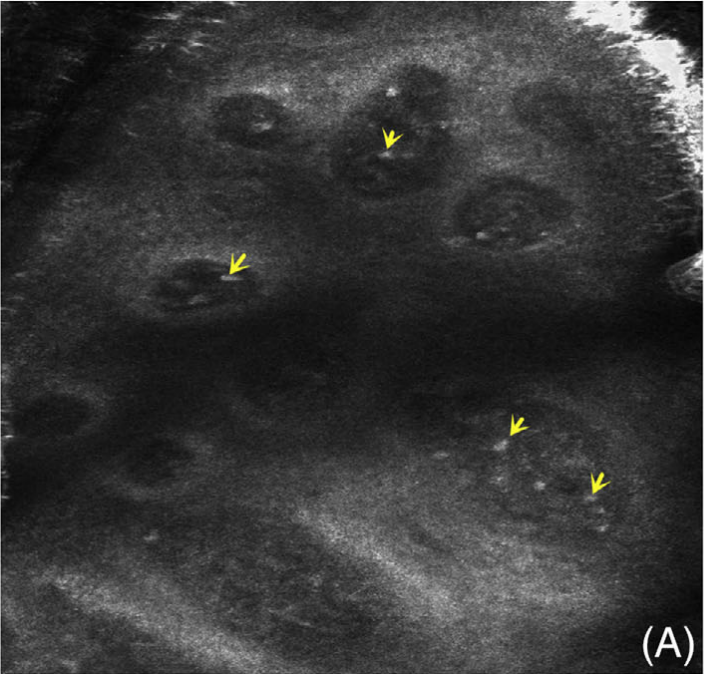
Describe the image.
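En-face reflectance image of skin at the level of the dermal papillae, seen as round to oval dark areas each rimmed by brighter grey tissue. Several papillae lie scattered over the upper and lower parts of the field. Inside some of them sit small bright refractile dots the size of single cells. A broad darker band crosses the middle of the field. A very bright irregular area lies at the upper right edge.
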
